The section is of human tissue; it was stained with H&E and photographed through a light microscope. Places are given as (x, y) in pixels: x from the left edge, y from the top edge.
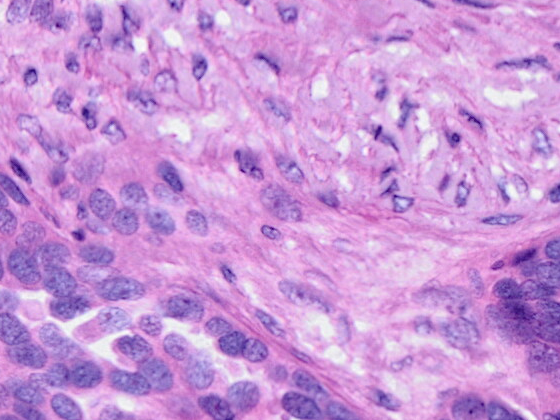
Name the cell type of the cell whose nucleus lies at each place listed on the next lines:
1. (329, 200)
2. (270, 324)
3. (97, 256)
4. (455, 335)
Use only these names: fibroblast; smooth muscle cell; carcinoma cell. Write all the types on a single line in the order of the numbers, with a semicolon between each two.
fibroblast; fibroblast; carcinoma cell; fibroblast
